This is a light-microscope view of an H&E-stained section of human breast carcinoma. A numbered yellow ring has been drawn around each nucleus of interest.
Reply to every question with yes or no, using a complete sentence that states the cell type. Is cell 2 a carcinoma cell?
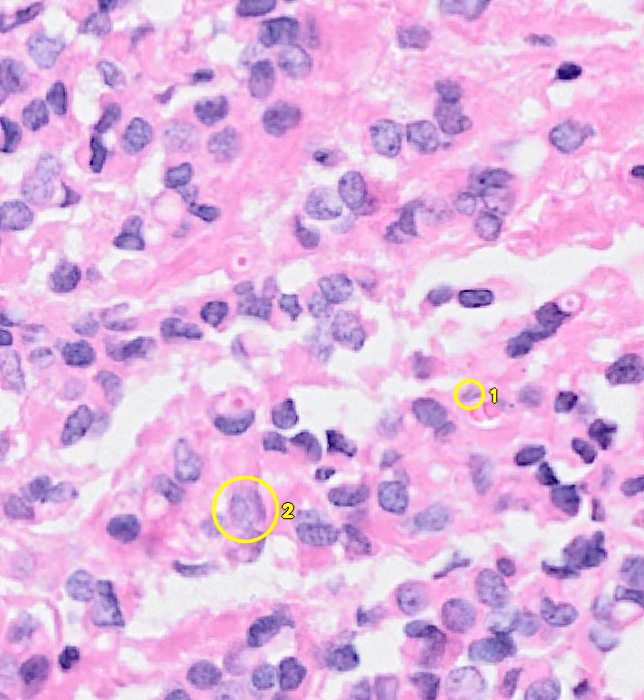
Yes, the one with the number 2 is a carcinoma cell.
